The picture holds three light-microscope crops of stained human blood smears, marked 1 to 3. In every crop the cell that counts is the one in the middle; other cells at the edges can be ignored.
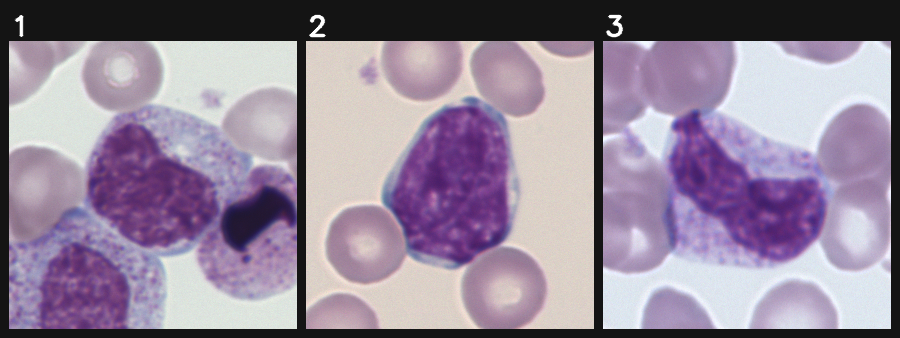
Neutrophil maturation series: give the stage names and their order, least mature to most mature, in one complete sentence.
Placed in order of rising maturity, the crops stand as crop 2 (a blast), crop 1 (a promyelocyte) and crop 3 (a band neutrophil).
